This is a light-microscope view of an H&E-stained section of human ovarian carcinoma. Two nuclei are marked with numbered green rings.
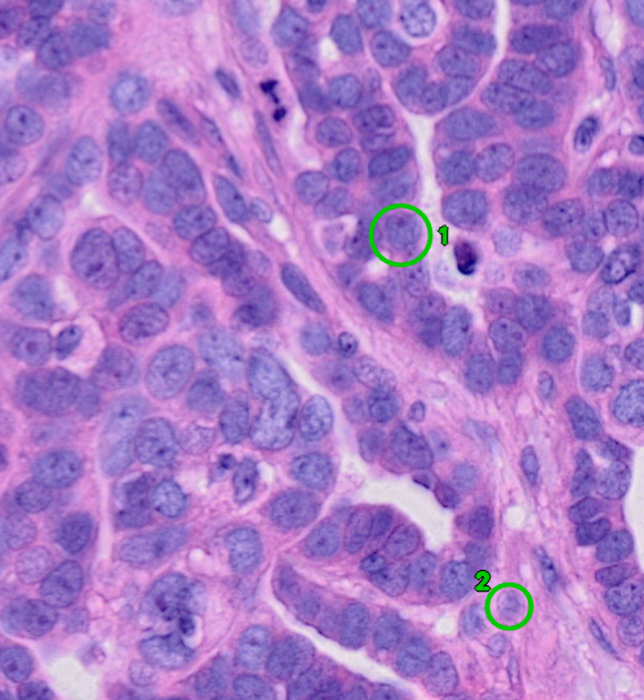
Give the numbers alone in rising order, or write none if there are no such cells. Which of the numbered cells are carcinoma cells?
1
